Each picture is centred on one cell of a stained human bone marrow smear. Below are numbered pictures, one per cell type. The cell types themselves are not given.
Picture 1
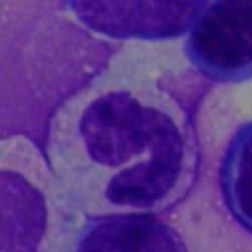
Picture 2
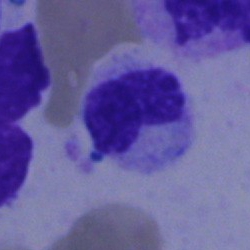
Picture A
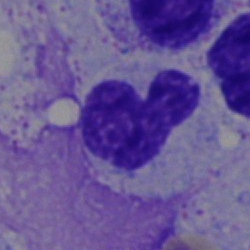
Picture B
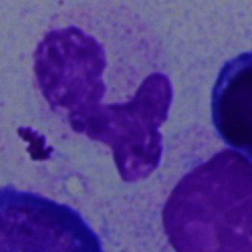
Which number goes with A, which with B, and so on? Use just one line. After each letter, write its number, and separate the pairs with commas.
A 2, B 2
